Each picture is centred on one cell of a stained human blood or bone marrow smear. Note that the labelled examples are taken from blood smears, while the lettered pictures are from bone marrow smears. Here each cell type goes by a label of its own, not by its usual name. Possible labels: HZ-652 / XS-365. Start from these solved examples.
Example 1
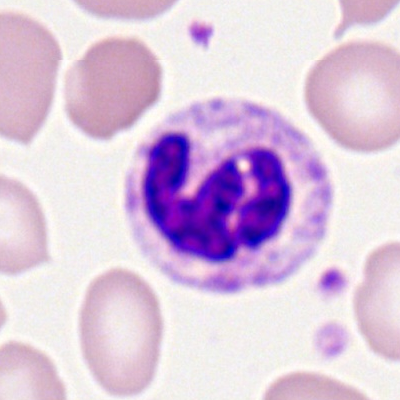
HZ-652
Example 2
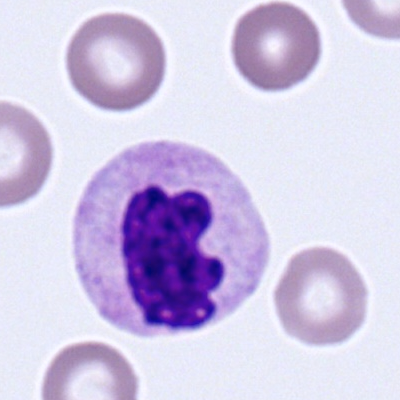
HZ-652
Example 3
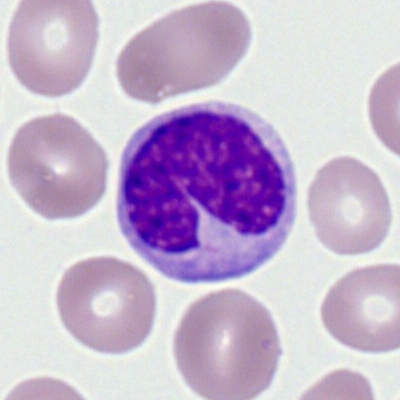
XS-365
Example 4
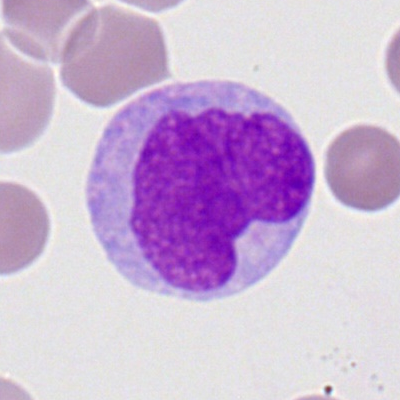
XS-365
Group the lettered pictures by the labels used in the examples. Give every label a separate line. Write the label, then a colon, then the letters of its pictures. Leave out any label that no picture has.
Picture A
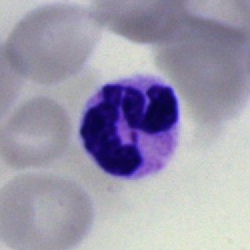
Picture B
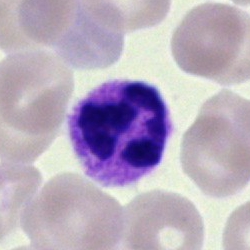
HZ-652: A, B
